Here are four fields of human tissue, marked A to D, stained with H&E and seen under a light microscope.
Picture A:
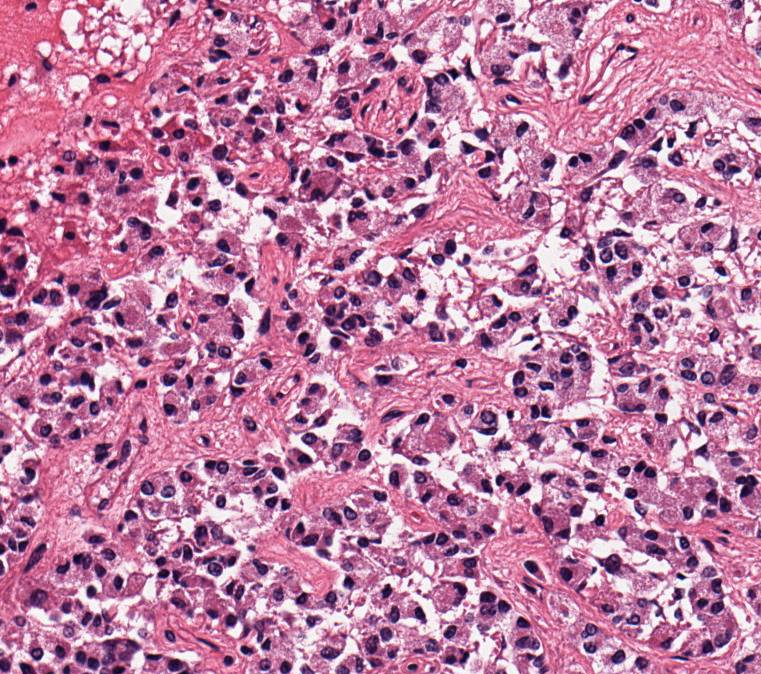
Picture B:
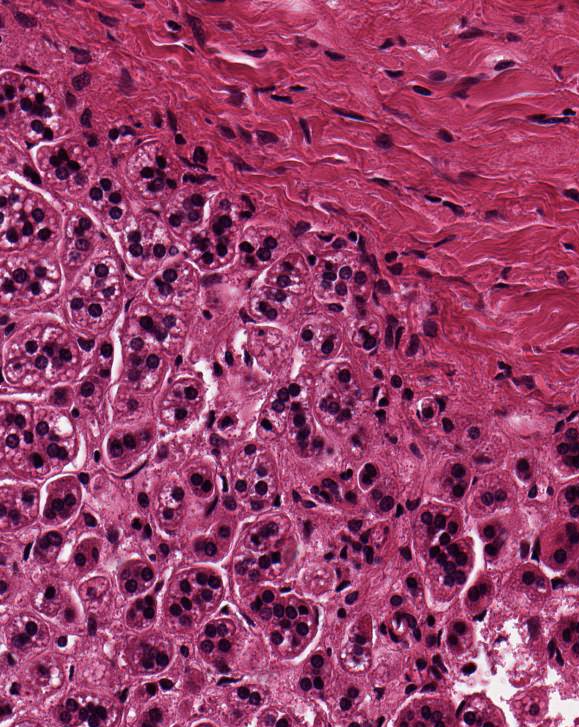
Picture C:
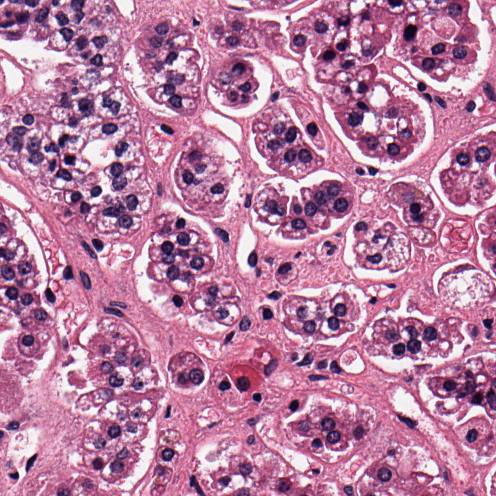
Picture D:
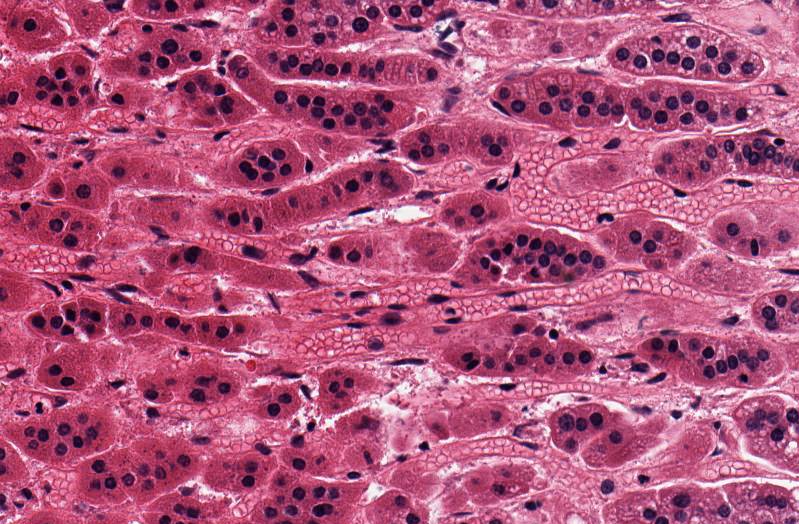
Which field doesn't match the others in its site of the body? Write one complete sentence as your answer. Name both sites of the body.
The others come from the adrenal gland, but picture A comes from the pituitary.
